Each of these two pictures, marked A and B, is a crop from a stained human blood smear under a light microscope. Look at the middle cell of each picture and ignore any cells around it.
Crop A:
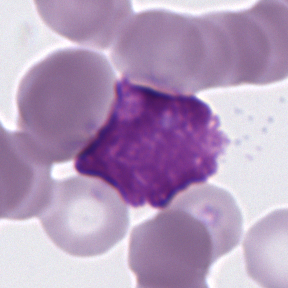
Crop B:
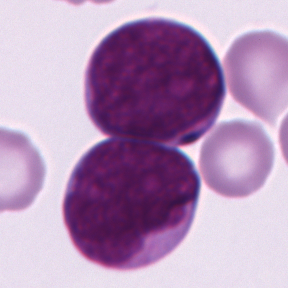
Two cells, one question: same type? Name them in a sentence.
No, crop A represents a smudge cell, and crop B represents a myeloblast.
